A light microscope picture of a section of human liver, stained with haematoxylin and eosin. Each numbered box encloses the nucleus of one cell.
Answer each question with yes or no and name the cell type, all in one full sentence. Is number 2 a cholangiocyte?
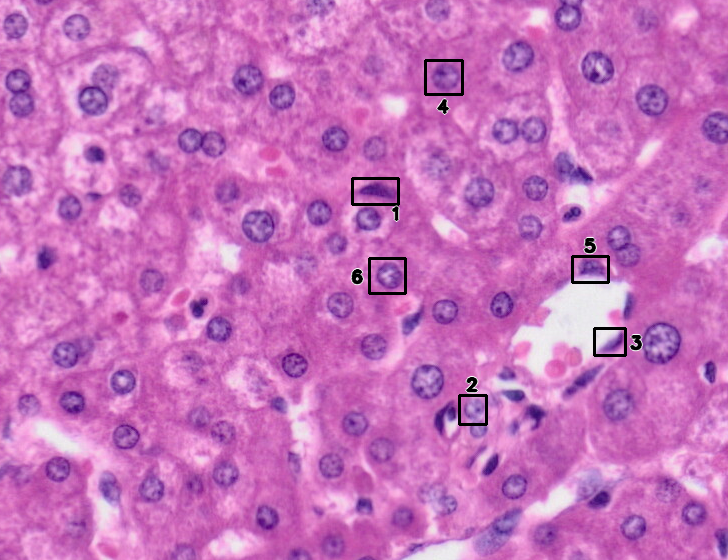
Yes, that is right: the cell labelled 2 is a cholangiocyte.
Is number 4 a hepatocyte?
Yes, cell 4 is a hepatocyte in this tissue section.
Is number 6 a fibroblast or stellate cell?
No, calling cell 6 a fibroblast or stellate cell is a mistake; it is a hepatocyte.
